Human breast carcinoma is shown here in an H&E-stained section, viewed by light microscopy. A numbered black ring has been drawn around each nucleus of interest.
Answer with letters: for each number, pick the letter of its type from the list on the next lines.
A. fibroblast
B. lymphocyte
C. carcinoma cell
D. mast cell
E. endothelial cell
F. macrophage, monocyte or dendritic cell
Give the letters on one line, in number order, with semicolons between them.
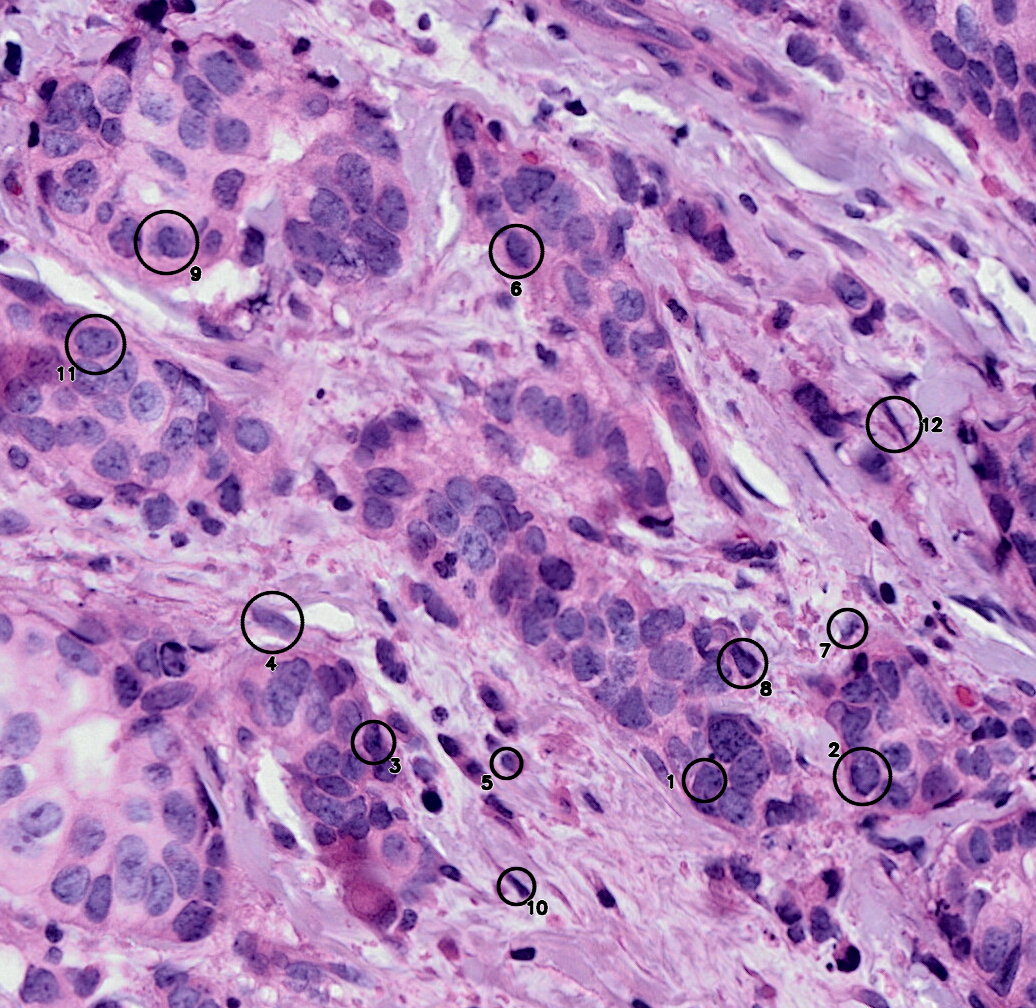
C; C; C; A; D; C; A; C; C; A; C; A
